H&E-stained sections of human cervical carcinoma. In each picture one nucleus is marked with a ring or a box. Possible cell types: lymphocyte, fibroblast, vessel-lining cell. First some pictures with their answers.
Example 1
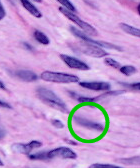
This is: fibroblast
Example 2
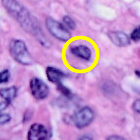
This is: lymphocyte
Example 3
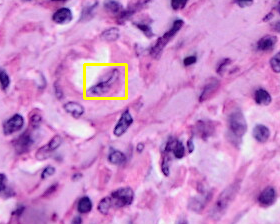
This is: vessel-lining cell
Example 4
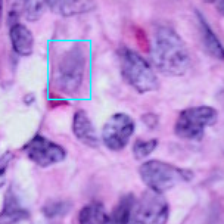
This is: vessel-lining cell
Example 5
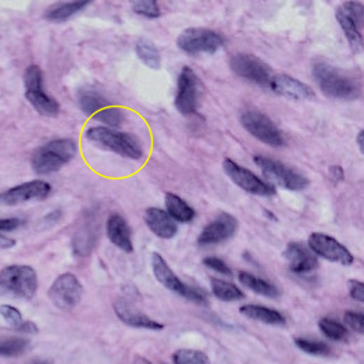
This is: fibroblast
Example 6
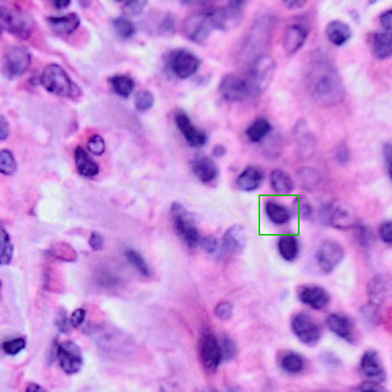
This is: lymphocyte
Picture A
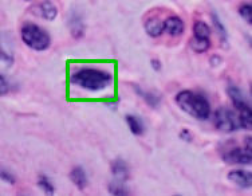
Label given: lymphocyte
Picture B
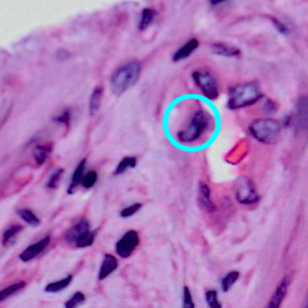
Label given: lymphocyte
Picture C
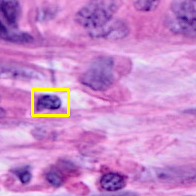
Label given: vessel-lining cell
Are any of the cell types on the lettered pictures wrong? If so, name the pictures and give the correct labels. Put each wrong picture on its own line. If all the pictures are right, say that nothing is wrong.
Wrong: B (lymphocyte); correct: vessel-lining cell
Wrong: C (vessel-lining cell); correct: lymphocyte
